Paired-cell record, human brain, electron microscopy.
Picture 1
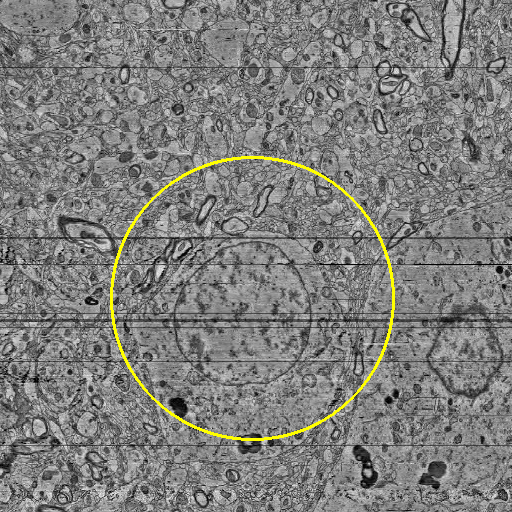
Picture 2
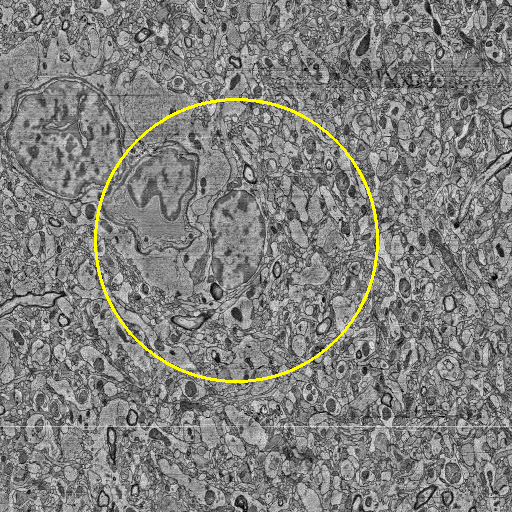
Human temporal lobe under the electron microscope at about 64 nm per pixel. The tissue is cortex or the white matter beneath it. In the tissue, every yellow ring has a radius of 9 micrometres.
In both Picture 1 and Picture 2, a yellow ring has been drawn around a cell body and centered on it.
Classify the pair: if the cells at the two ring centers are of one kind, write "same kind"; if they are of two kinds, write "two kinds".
two kinds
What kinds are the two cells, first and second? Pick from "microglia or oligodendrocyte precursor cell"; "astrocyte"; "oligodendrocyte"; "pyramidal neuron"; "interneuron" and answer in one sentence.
The second picture holds a microglial cell or oligodendrocyte precursor cell in its ring, and the first holds a pyramidal neuron.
